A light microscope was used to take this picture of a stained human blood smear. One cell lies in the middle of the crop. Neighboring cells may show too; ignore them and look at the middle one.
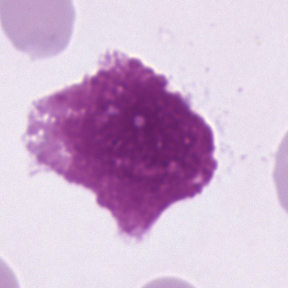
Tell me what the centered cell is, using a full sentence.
The cell in the middle of the field of view is a smudge cell.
